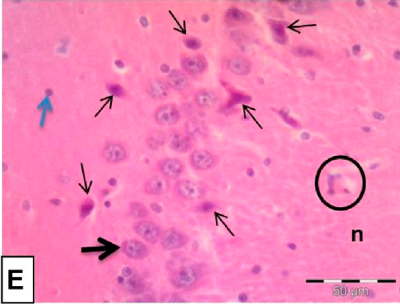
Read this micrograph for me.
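This section of the hippocampus shows a band of pyramidal neurons set in pink, finely fibrillar neuropil. Many neurons have large pale round nuclei with a clear nucleolus, but scattered among them are shrunken, elongated neurons whose nuclei and cytoplasm stain dark purple. Small round glial nuclei lie in the neuropil around the band. A small irregular dark structure is set apart in a clear space within the neuropil.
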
